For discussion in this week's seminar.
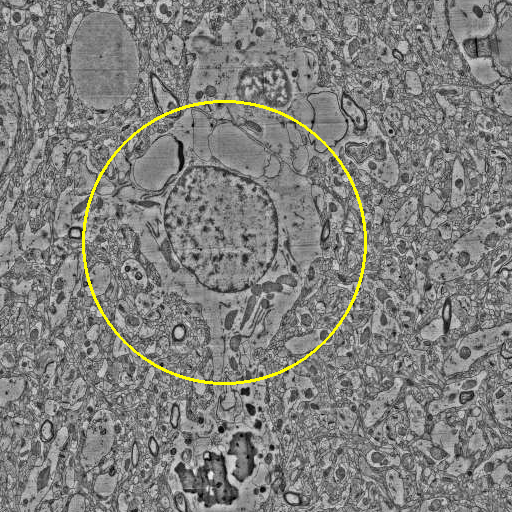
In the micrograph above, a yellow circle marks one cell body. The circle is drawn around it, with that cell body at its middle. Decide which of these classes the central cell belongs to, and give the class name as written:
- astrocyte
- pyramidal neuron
astrocyte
